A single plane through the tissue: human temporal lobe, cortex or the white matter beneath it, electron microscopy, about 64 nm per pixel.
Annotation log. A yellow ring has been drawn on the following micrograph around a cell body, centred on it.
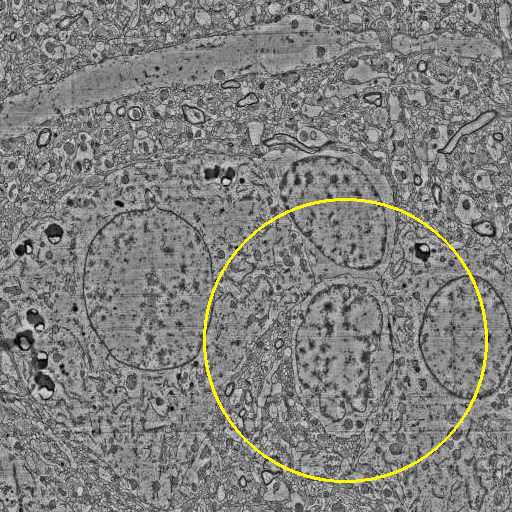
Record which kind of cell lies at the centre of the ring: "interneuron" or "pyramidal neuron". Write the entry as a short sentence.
The cell the ring is centred on is an interneuron.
